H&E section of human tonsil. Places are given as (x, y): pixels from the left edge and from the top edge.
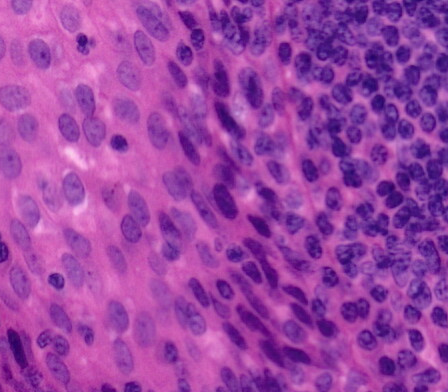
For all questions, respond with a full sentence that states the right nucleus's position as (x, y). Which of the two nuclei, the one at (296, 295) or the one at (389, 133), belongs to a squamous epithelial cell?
The nucleus belonging to a squamous epithelial cell is the one at (296, 295).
